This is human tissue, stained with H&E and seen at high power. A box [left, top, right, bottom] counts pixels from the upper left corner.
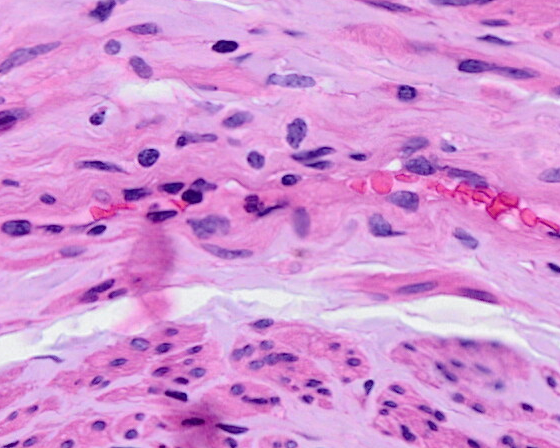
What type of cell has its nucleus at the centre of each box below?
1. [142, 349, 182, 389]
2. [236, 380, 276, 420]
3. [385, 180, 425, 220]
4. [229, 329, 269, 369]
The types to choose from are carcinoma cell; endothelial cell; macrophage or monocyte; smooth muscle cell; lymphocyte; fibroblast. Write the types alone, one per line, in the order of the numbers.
smooth muscle cell
smooth muscle cell
endothelial cell
smooth muscle cell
